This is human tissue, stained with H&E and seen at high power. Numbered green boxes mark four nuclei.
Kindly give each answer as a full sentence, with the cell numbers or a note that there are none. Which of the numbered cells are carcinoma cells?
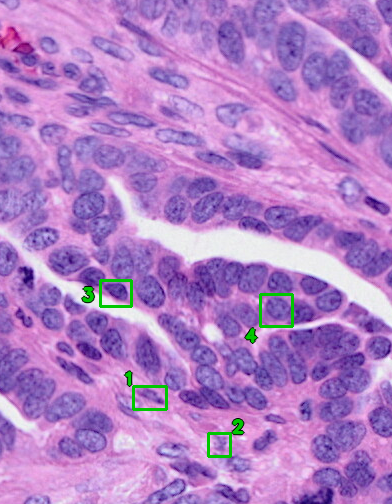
The cells with the number labels 3 and 4 are carcinoma cells.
